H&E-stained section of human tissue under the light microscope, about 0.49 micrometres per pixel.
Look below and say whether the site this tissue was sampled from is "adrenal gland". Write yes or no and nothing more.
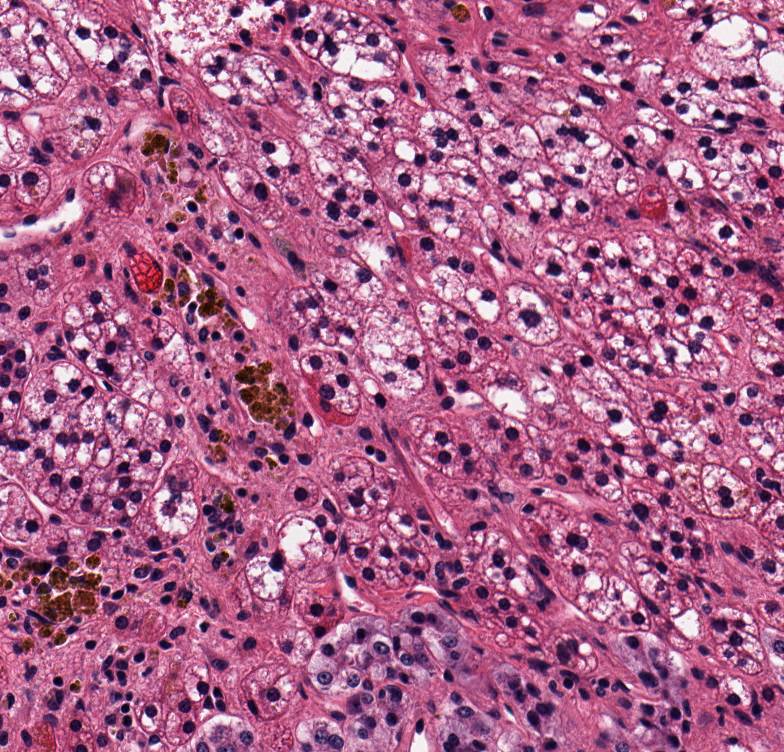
yes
